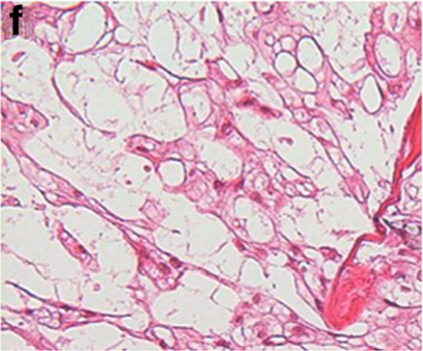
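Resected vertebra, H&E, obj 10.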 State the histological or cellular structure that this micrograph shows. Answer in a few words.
myxoid background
